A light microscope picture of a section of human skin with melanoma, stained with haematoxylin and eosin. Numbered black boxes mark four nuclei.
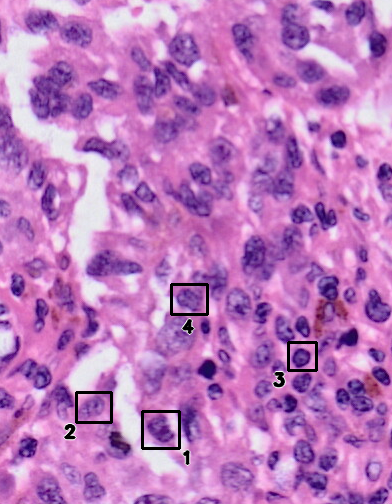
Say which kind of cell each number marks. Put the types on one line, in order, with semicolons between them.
melanoma cell; melanoma cell; lymphocyte; melanoma cell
